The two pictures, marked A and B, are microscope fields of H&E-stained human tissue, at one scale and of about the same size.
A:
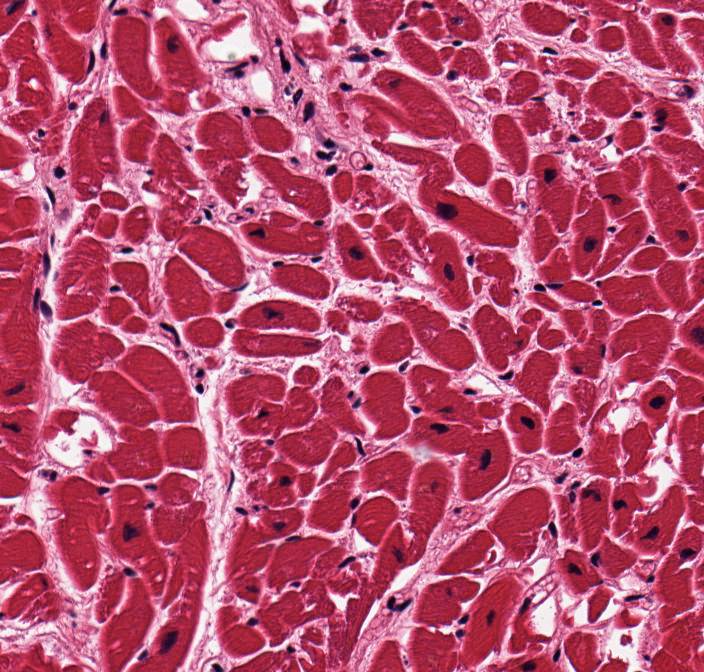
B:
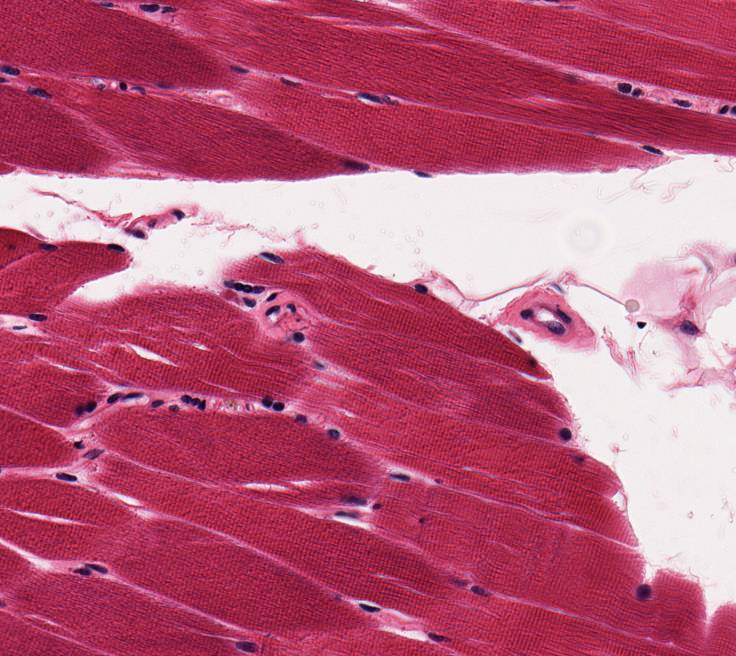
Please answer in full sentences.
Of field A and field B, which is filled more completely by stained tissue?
Field A has less white space.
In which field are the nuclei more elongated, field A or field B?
It is field B whose nuclei are the more elongated.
